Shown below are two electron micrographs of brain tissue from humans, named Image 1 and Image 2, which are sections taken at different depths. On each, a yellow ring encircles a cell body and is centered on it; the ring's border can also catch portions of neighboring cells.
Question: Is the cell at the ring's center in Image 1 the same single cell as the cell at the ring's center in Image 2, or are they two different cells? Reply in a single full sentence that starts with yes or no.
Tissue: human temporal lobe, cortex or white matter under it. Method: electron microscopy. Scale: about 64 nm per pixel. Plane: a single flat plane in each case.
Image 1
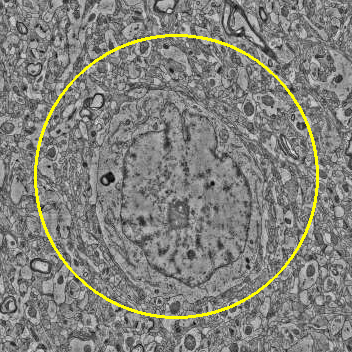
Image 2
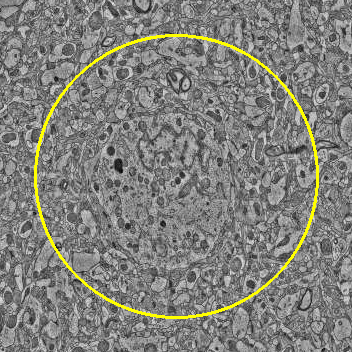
No, it is two different cells that the rings mark.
